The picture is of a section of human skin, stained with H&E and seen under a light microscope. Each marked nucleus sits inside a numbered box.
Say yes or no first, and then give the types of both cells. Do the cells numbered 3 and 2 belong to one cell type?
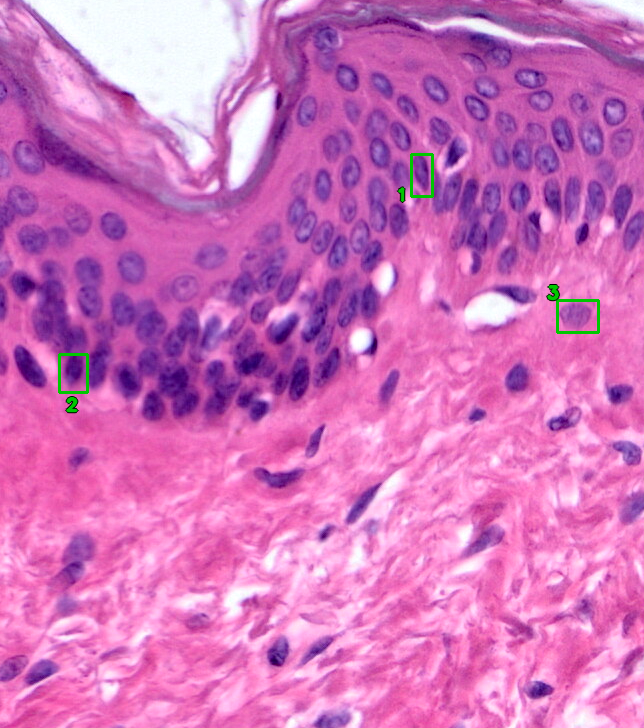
No; whereas cell 3 is a fibroblast, cell 2 is a basal keratinocyte.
